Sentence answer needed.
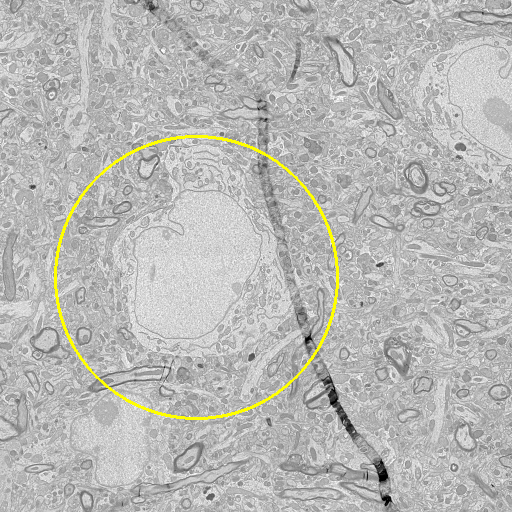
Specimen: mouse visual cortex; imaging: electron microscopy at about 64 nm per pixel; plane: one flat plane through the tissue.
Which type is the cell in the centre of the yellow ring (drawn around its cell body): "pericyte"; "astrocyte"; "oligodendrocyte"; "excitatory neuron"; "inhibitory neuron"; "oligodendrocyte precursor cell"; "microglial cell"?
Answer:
In the centre of the yellow ring is an inhibitory neuron.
